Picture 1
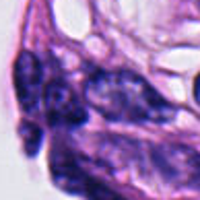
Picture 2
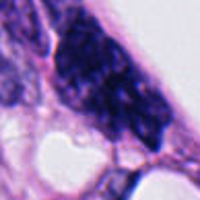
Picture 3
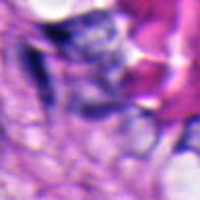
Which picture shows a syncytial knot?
Picture 2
